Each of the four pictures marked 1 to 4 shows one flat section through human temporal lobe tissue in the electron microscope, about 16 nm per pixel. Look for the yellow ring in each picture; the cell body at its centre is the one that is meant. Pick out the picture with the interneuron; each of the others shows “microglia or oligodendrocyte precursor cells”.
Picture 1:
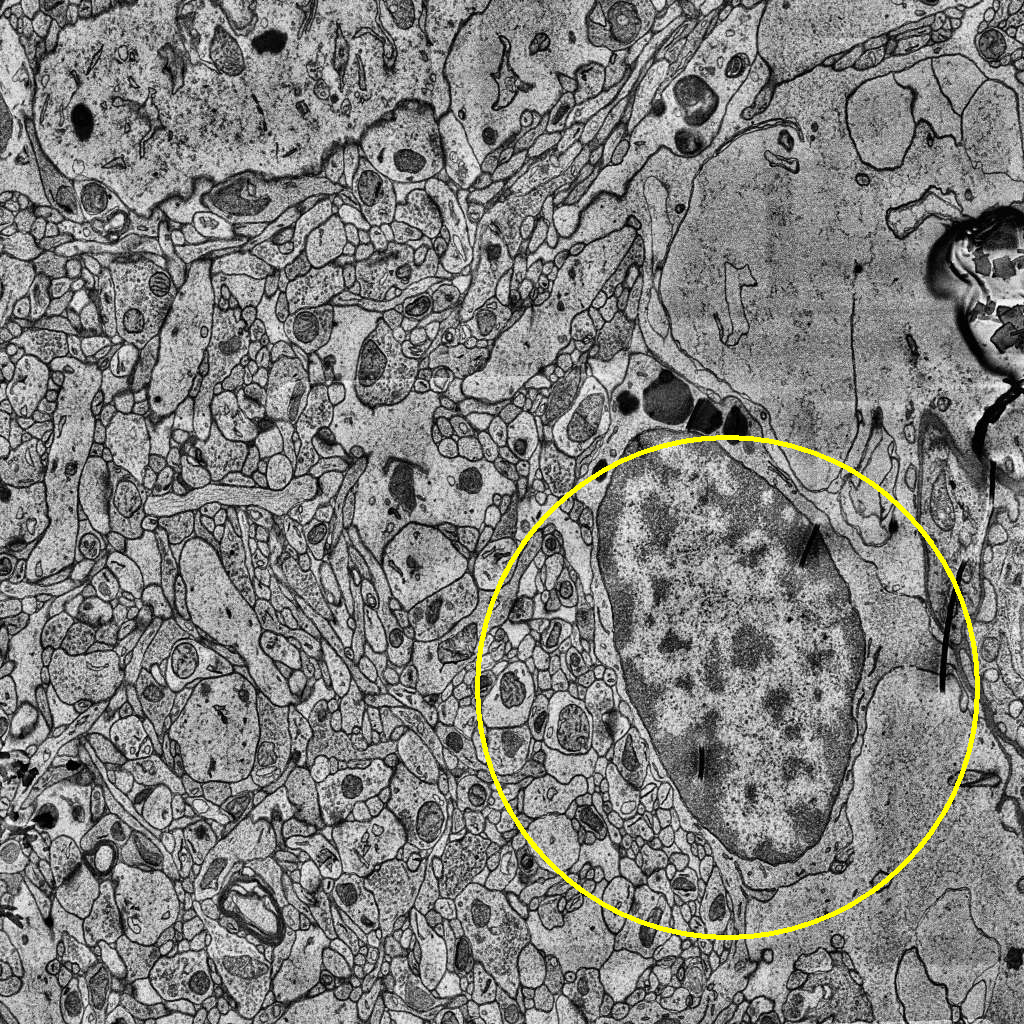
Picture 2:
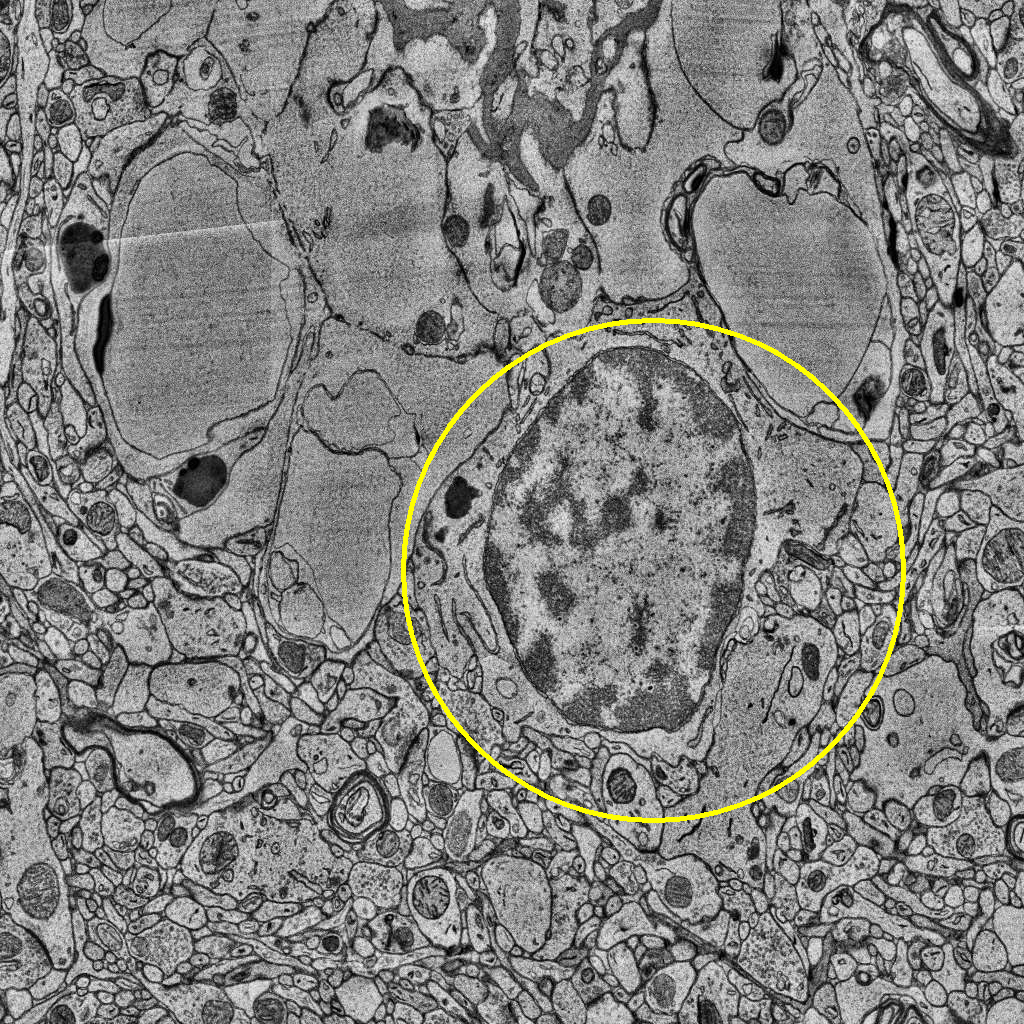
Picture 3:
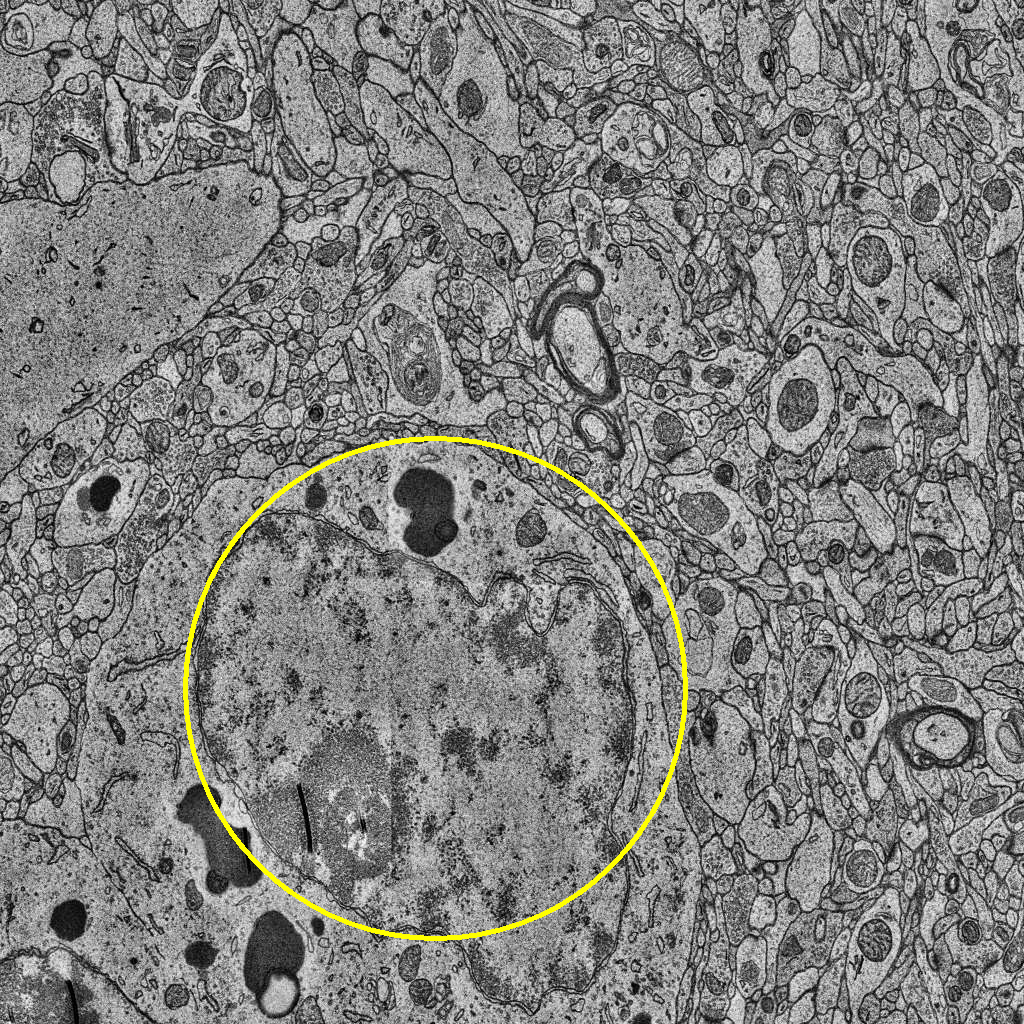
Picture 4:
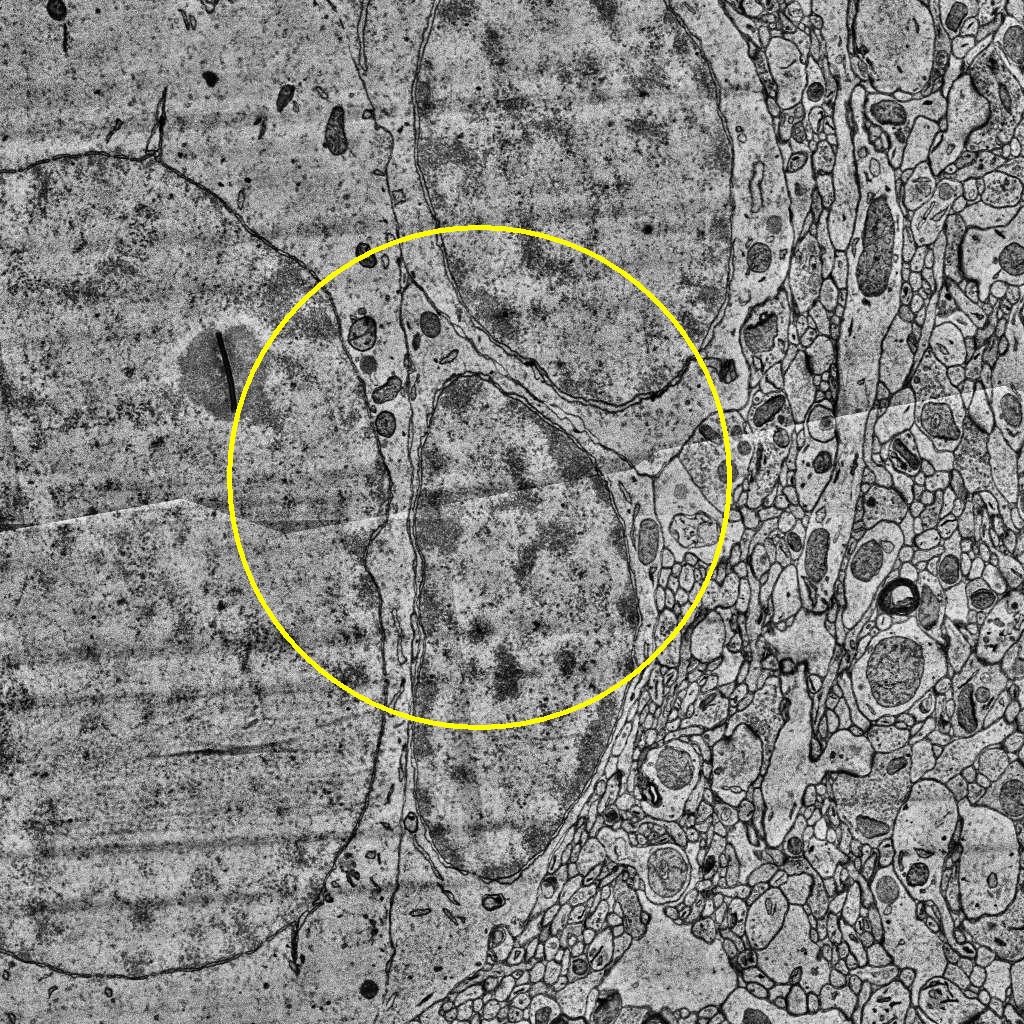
The picture with the interneuron is 3.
